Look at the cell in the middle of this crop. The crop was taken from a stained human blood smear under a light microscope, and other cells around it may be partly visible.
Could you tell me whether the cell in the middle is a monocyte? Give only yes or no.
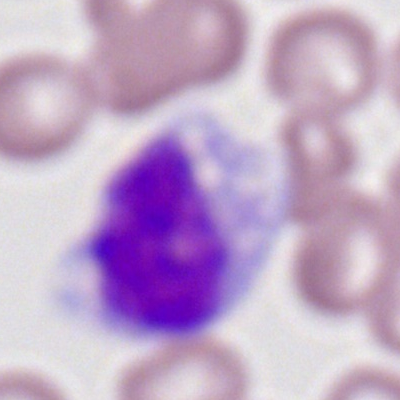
yes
